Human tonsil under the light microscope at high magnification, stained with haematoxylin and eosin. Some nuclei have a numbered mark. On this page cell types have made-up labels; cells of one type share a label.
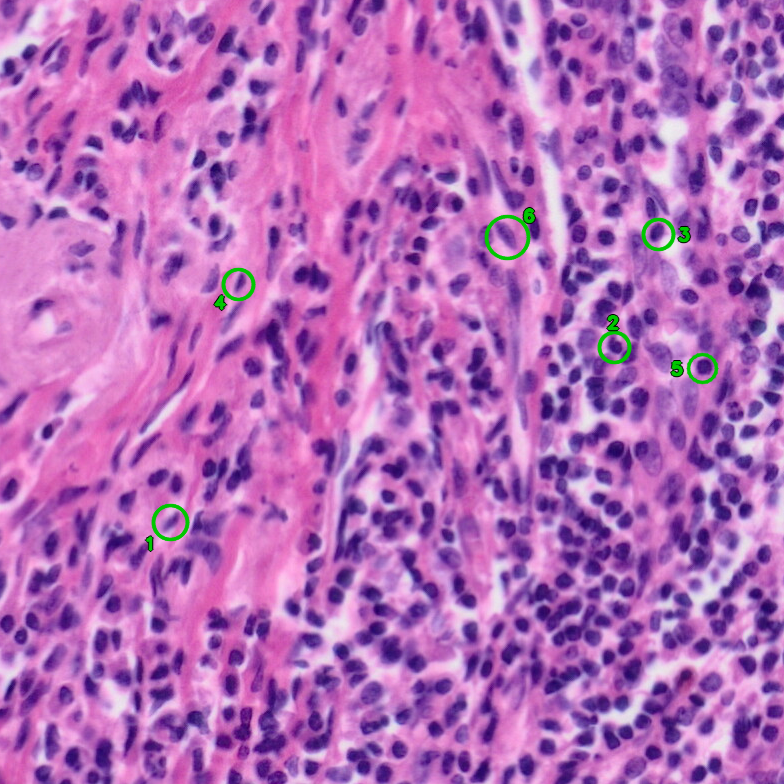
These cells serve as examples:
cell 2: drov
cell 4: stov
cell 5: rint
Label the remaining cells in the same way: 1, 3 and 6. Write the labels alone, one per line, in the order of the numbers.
stov
rint
rint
